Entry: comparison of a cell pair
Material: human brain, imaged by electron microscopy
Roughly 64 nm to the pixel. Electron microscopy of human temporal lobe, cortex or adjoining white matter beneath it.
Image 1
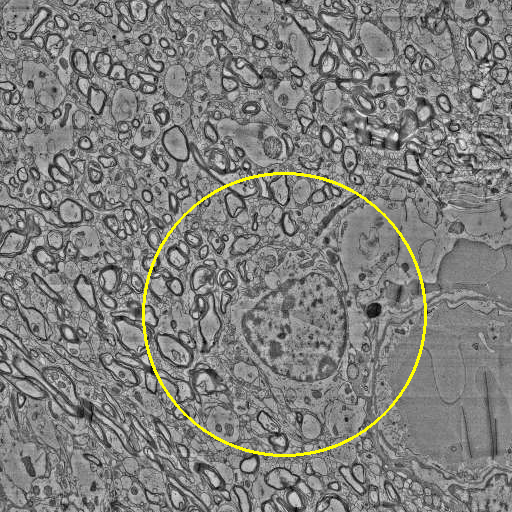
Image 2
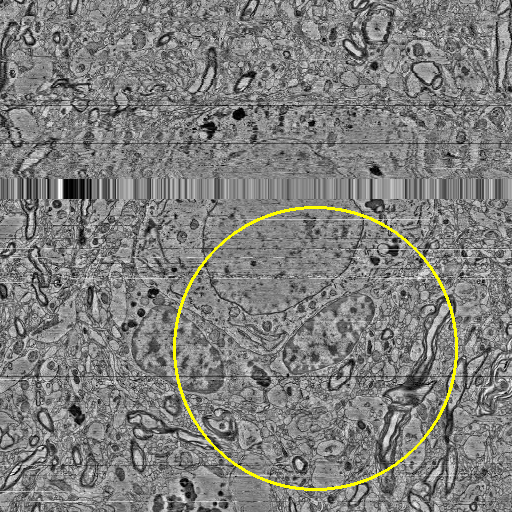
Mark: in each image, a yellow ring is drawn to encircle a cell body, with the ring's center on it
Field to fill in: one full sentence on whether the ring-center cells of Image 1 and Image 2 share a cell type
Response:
Yes, Image 1 and Image 2 each show a ring-center cell of one shared type.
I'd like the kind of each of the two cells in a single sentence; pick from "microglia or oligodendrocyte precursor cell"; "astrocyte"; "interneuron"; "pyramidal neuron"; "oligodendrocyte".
Both pictures show a microglial cell or oligodendrocyte precursor cell at the centre of the ring.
